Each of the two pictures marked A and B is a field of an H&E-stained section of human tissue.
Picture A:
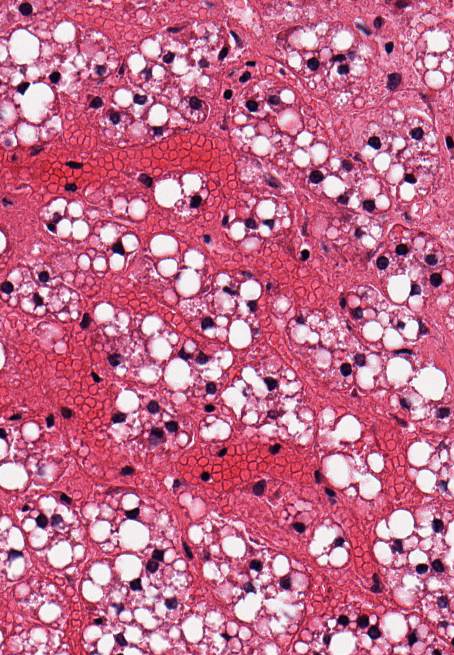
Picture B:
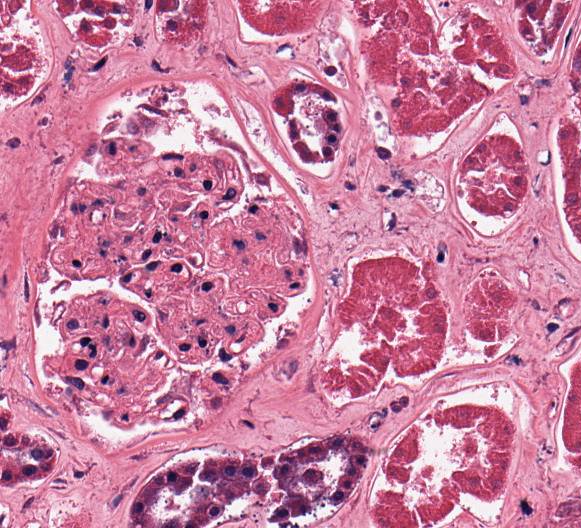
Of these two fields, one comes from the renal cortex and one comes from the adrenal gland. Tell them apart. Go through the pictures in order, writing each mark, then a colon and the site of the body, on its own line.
A: adrenal gland
B: renal cortex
